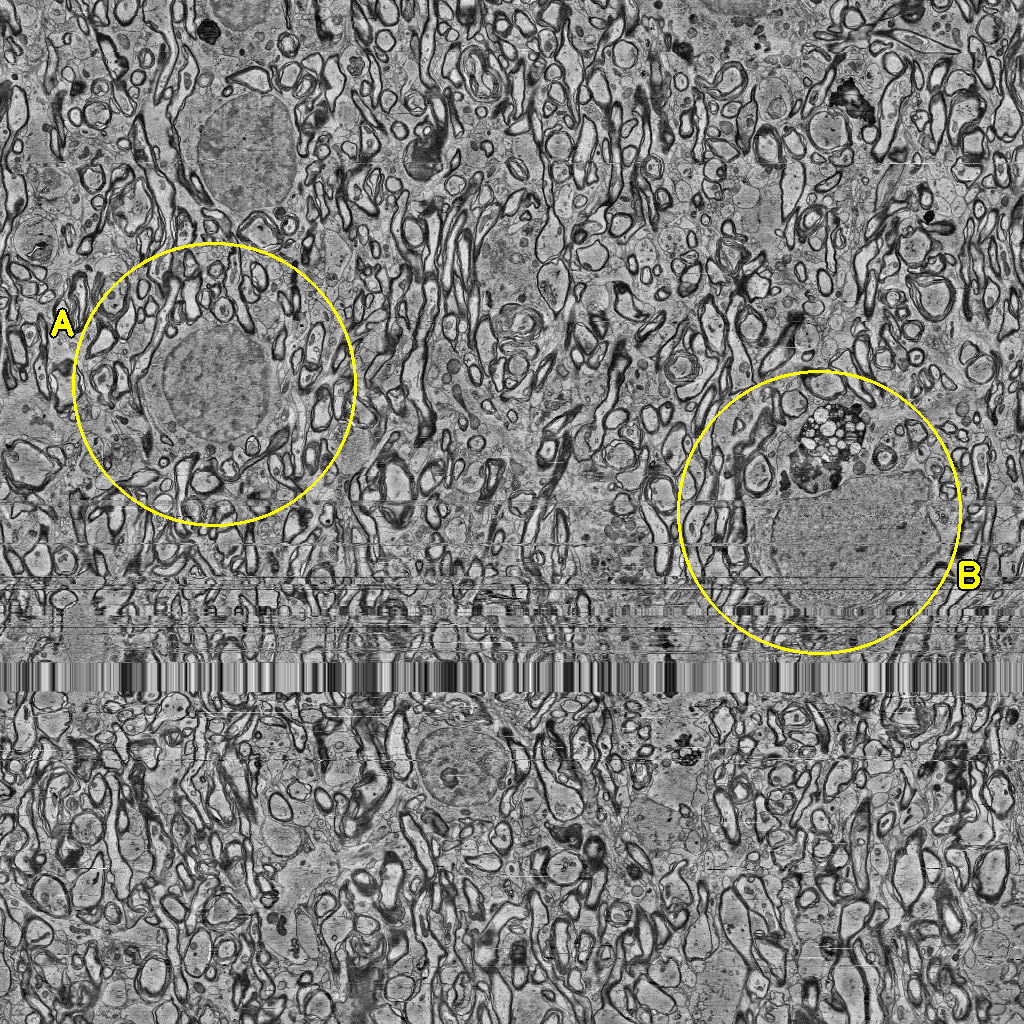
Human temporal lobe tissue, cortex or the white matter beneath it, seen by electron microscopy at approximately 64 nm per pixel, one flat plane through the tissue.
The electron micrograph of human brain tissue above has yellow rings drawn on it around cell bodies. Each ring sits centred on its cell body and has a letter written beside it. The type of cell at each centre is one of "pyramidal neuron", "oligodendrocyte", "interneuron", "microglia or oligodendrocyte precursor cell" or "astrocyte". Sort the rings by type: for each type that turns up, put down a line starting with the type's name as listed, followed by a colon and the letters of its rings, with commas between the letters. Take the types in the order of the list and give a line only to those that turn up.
oligodendrocyte: A
astrocyte: B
